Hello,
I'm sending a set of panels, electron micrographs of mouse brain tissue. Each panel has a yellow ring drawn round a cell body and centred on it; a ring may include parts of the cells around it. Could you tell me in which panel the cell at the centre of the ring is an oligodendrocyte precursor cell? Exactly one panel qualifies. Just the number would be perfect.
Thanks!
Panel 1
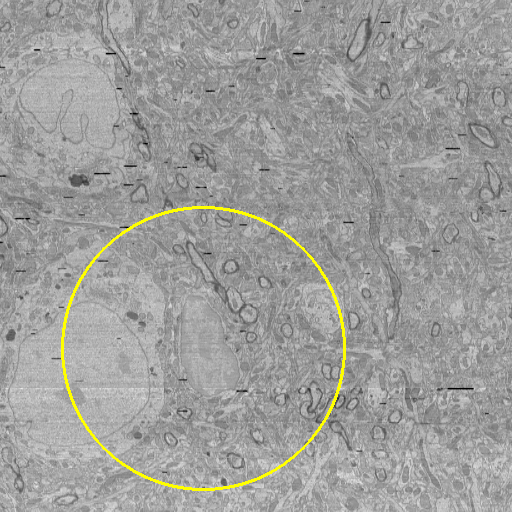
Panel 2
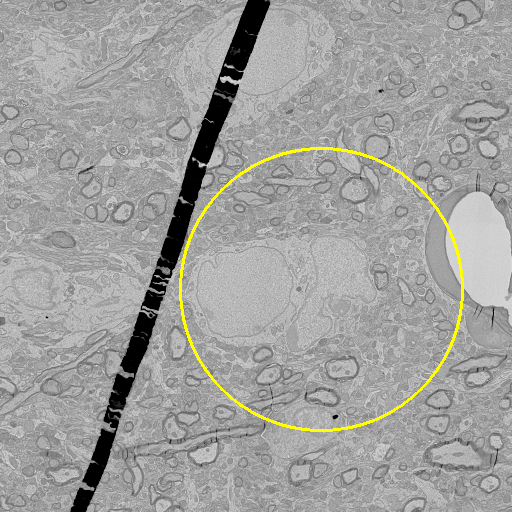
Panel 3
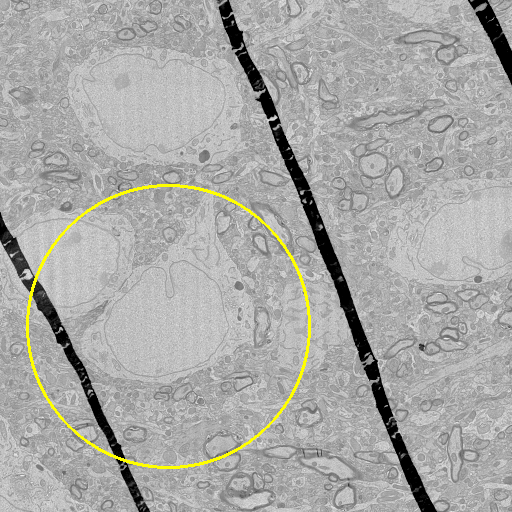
2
